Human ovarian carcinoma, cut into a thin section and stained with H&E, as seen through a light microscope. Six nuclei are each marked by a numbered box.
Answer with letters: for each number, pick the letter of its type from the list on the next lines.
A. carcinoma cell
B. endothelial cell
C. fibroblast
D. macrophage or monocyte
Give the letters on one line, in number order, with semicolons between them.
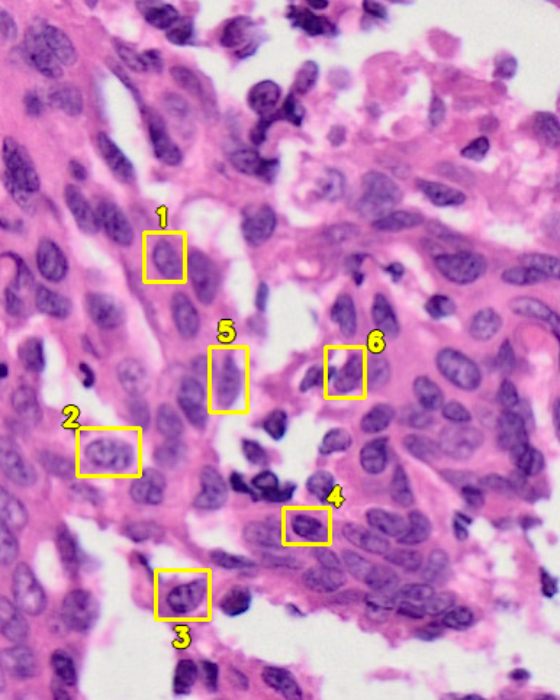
A; D; D; A; A; A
